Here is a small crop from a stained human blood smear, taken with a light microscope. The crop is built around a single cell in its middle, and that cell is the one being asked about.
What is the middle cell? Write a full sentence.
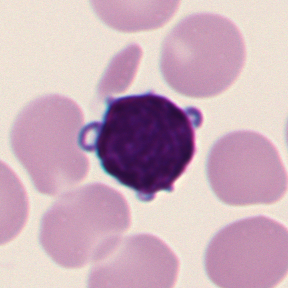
Framed in the middle of the crop is a typical lymphocyte.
